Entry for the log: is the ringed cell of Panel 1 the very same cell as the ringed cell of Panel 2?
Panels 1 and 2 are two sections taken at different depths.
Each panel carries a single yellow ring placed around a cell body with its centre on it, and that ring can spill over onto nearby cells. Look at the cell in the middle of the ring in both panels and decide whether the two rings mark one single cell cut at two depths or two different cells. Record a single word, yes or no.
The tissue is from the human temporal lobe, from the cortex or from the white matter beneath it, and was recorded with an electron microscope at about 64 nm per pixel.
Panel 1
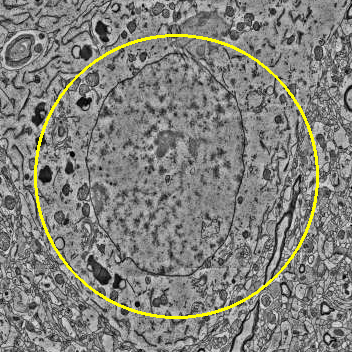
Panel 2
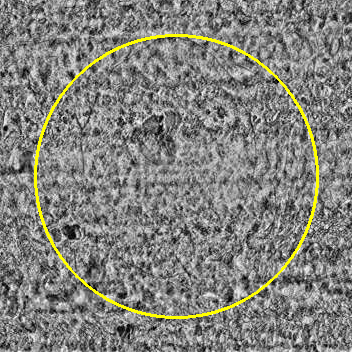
yes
